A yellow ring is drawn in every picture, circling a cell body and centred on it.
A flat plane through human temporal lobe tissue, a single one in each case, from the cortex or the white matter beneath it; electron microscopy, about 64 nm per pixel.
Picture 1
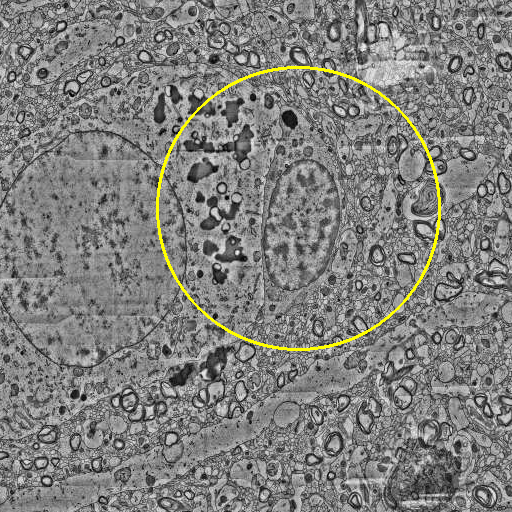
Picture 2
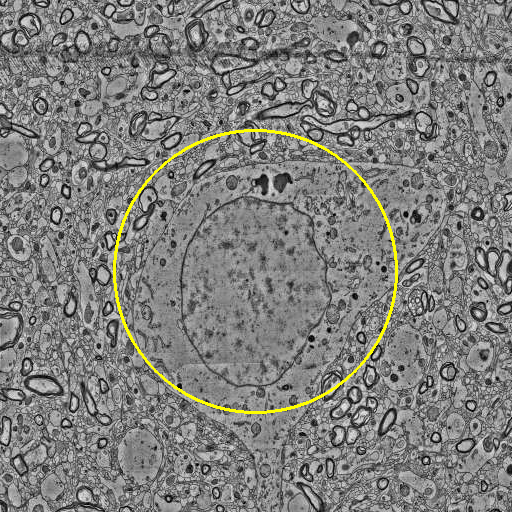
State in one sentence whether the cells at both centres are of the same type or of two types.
The cells at the two ring centres, one per picture, are of two types.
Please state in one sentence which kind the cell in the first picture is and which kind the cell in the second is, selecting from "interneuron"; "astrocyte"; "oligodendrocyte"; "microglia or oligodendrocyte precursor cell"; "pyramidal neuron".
The first ringed cell is an oligodendrocyte, the second ringed cell a pyramidal neuron.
